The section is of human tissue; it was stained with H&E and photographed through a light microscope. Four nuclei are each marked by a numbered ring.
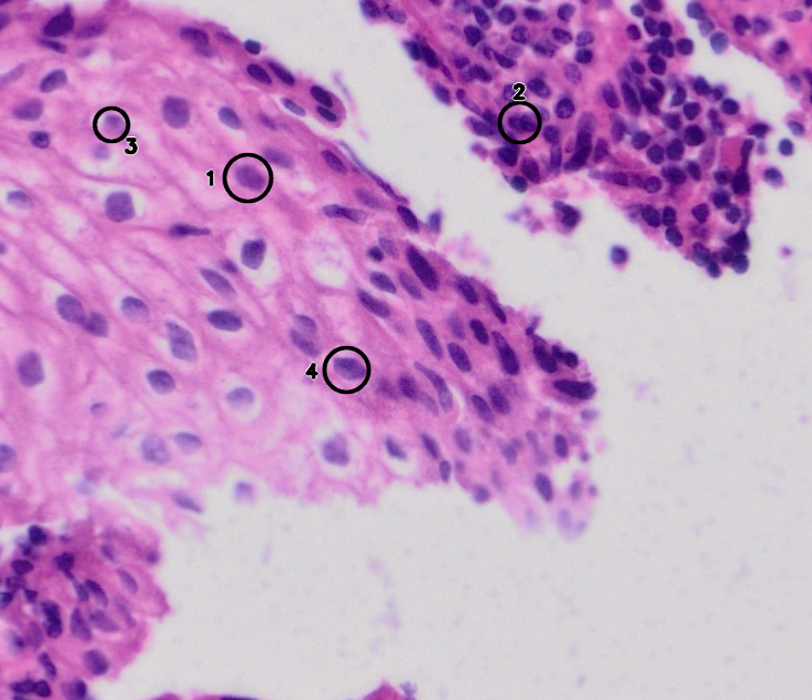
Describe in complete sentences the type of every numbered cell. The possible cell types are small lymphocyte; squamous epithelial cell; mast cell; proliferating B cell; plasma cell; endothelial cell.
Cell 1 is a squamous epithelial cell, cell 2 is a plasma cell, cell 3 is a squamous epithelial cell and cell 4 is a squamous epithelial cell.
